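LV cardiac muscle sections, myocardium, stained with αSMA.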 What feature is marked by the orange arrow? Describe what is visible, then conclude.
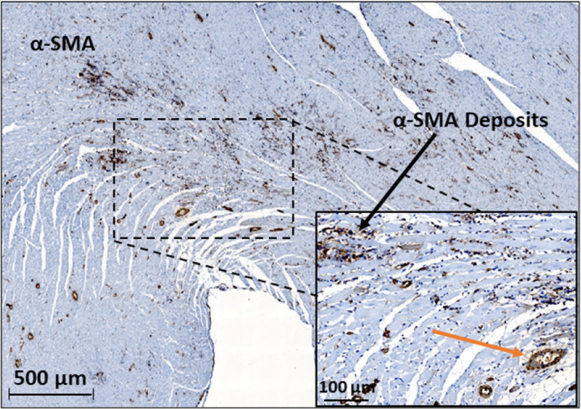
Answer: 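Large arteriole. The arrow points to a round vessel cross-section in the inset. The vessel has a lumen ringed by a brown-stained wall.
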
